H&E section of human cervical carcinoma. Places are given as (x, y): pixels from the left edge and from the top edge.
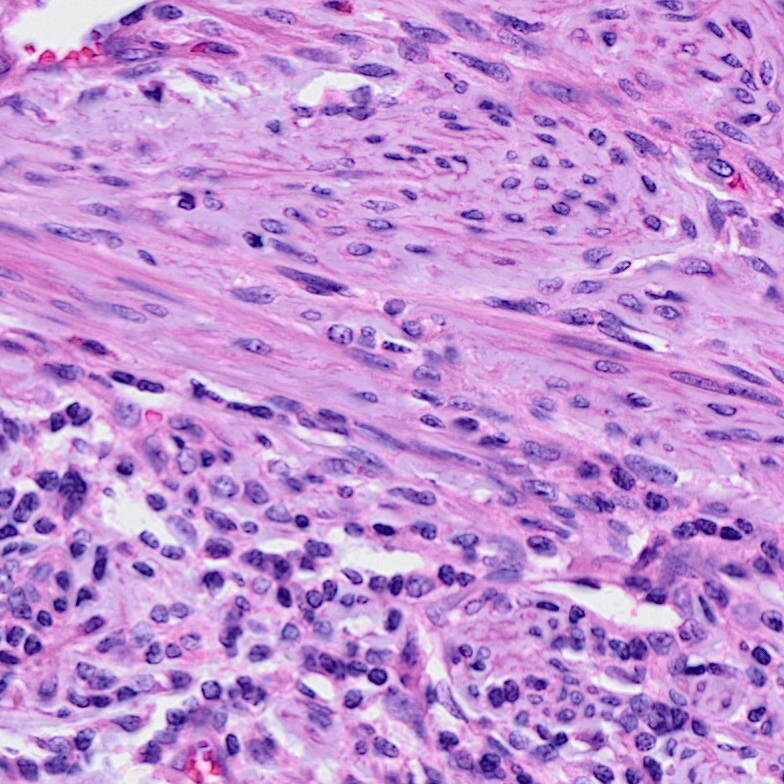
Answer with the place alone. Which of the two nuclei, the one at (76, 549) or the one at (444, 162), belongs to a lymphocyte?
(76, 549)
